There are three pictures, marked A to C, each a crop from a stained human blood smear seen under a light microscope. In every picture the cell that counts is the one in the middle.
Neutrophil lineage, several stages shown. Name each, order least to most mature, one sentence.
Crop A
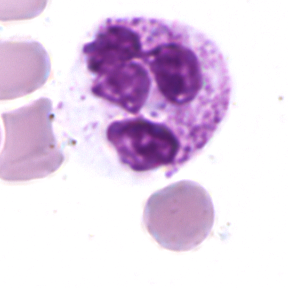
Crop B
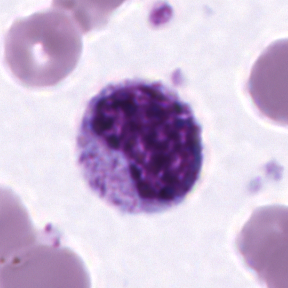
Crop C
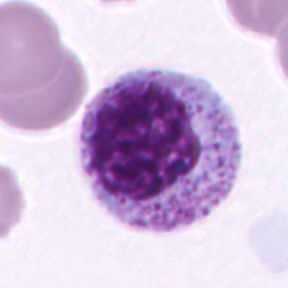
From the earliest stage to the most mature one, the order is crop C (a myelocyte), crop B (a metamyelocyte) and crop A (a segmented neutrophil).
